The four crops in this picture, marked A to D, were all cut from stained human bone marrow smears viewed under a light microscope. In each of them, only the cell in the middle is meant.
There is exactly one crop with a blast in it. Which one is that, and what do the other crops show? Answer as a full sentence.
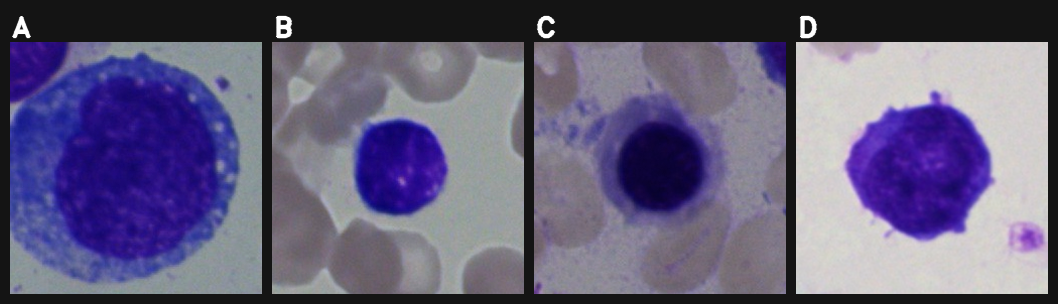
Crop D shows a blast, and as for the other crops, crop A is a promyelocyte, crop B is a lymphocyte and crop C is a normoblast.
